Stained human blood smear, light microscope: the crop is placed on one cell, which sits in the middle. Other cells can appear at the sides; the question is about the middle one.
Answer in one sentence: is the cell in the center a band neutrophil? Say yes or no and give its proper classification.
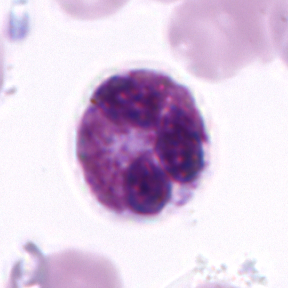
No, the label for the central cell is an eosinophil, not a band neutrophil.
